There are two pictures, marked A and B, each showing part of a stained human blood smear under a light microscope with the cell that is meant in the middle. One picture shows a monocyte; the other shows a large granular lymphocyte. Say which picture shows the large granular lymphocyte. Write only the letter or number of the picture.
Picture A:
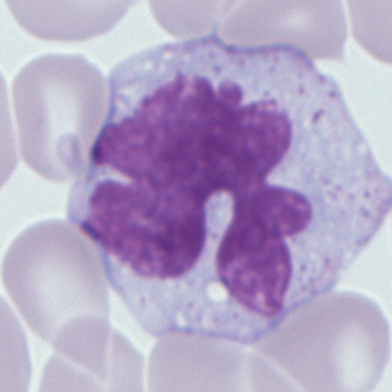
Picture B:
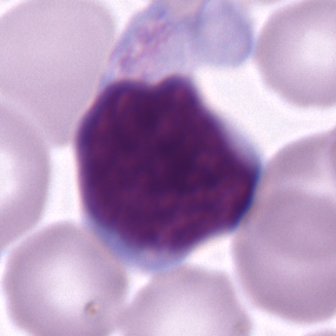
B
